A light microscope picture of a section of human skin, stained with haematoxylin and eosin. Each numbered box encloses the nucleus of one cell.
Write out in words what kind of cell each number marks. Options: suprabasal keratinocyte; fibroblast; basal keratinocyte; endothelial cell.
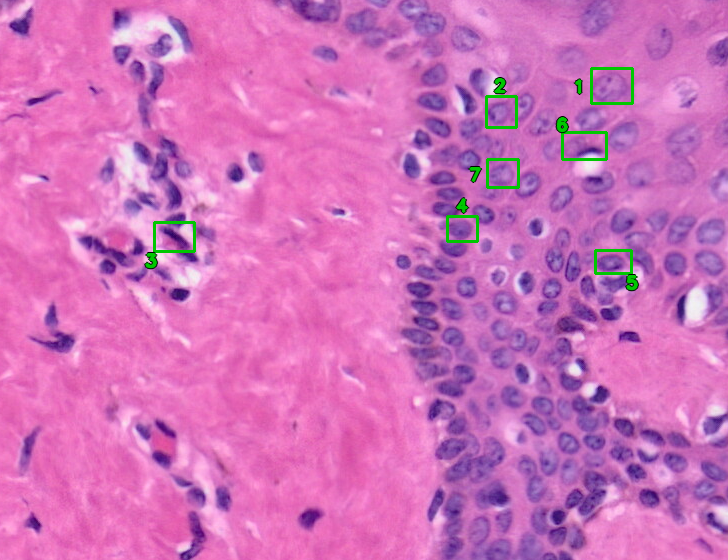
Cell 1 is a suprabasal keratinocyte, cell 2 is a suprabasal keratinocyte, cell 3 is an endothelial cell, cell 4 is a basal keratinocyte, cell 5 is a basal keratinocyte, cell 6 is a suprabasal keratinocyte and cell 7 is a suprabasal keratinocyte.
